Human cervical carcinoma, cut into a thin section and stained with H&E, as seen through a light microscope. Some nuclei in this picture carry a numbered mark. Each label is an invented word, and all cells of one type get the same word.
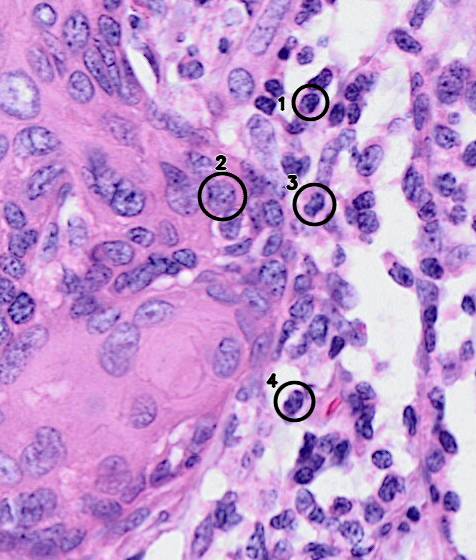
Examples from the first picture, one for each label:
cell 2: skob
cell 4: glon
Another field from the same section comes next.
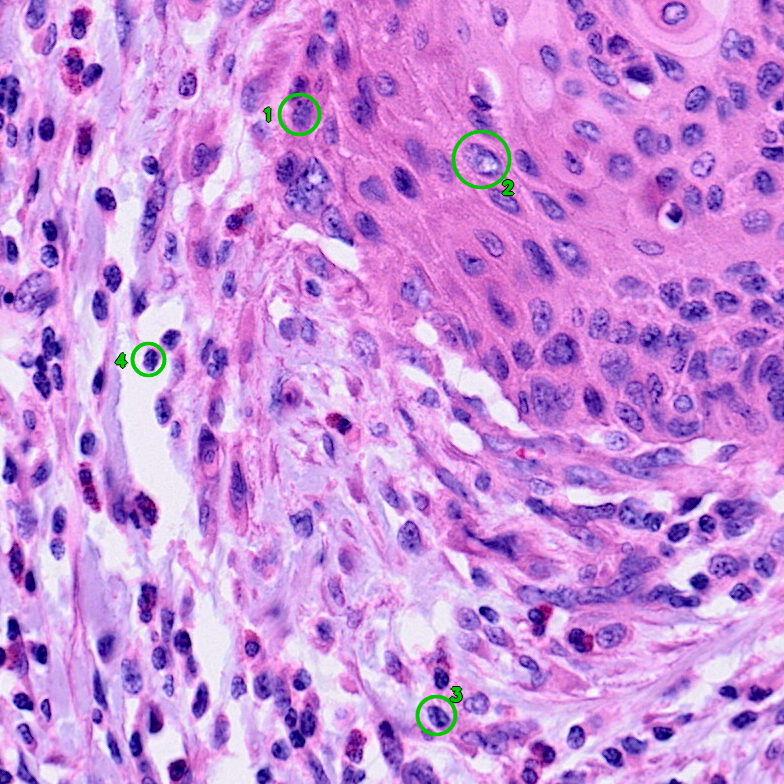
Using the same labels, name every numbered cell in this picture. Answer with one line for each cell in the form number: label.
1: skob
2: skob
3: glon
4: glon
